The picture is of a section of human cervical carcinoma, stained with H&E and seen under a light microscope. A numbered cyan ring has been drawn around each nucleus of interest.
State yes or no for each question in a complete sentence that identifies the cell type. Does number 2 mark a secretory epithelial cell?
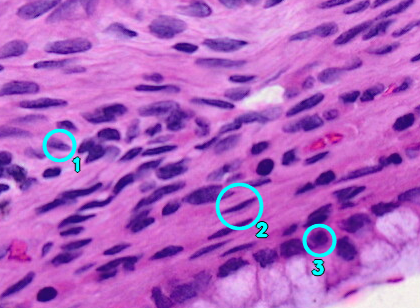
No, the cell labelled 2 is a fibroblast and not a secretory epithelial cell.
